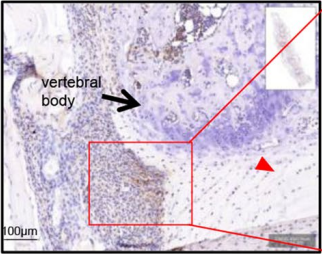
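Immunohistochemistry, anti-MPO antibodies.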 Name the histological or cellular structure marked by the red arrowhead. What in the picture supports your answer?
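The arrowhead points into pale fibrous tissue with sparse elongated cells beside the bony vertebral body. On this evidence: intervertebral disc.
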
